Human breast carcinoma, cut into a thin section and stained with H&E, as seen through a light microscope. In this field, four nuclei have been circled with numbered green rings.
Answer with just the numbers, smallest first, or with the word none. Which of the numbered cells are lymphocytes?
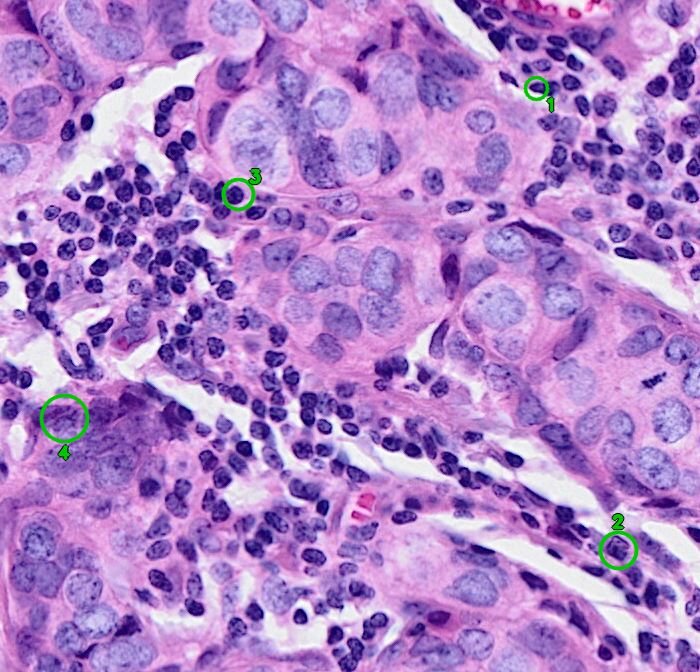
1, 2, 3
